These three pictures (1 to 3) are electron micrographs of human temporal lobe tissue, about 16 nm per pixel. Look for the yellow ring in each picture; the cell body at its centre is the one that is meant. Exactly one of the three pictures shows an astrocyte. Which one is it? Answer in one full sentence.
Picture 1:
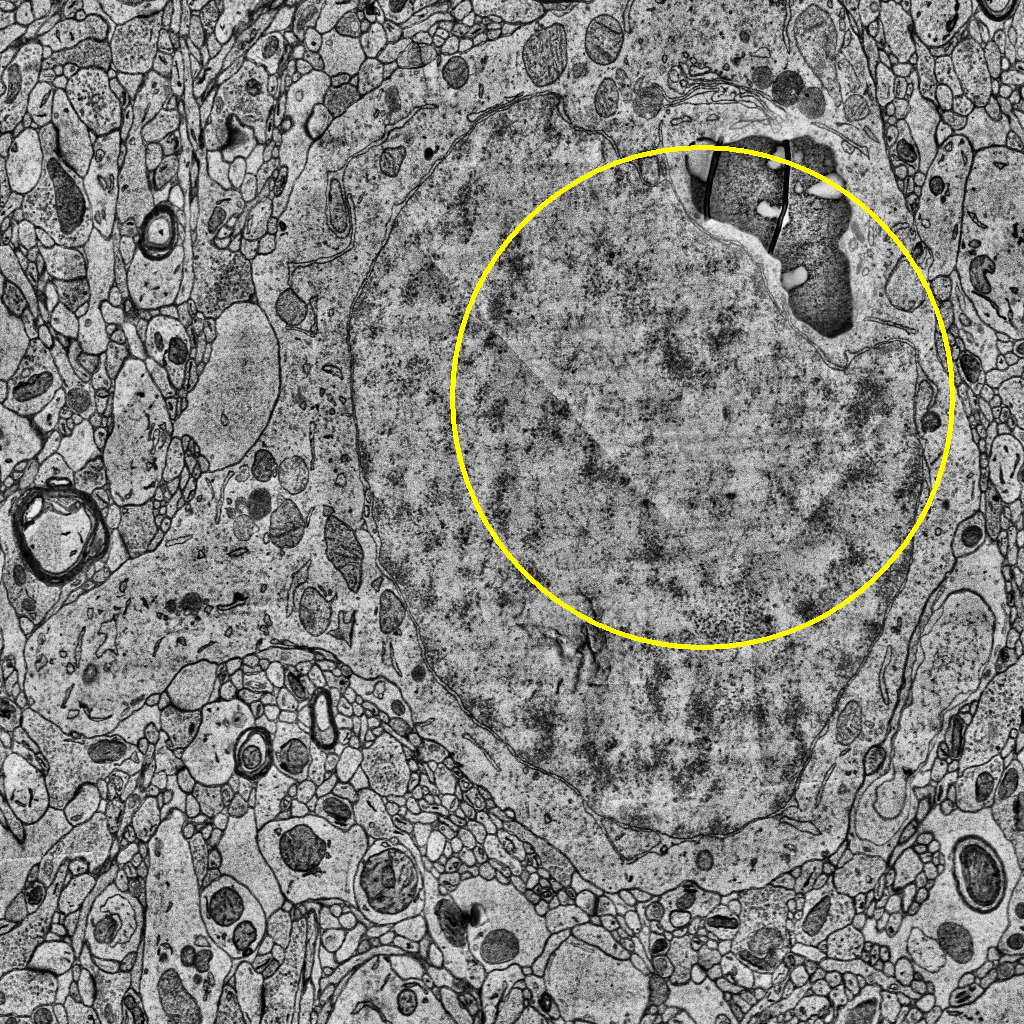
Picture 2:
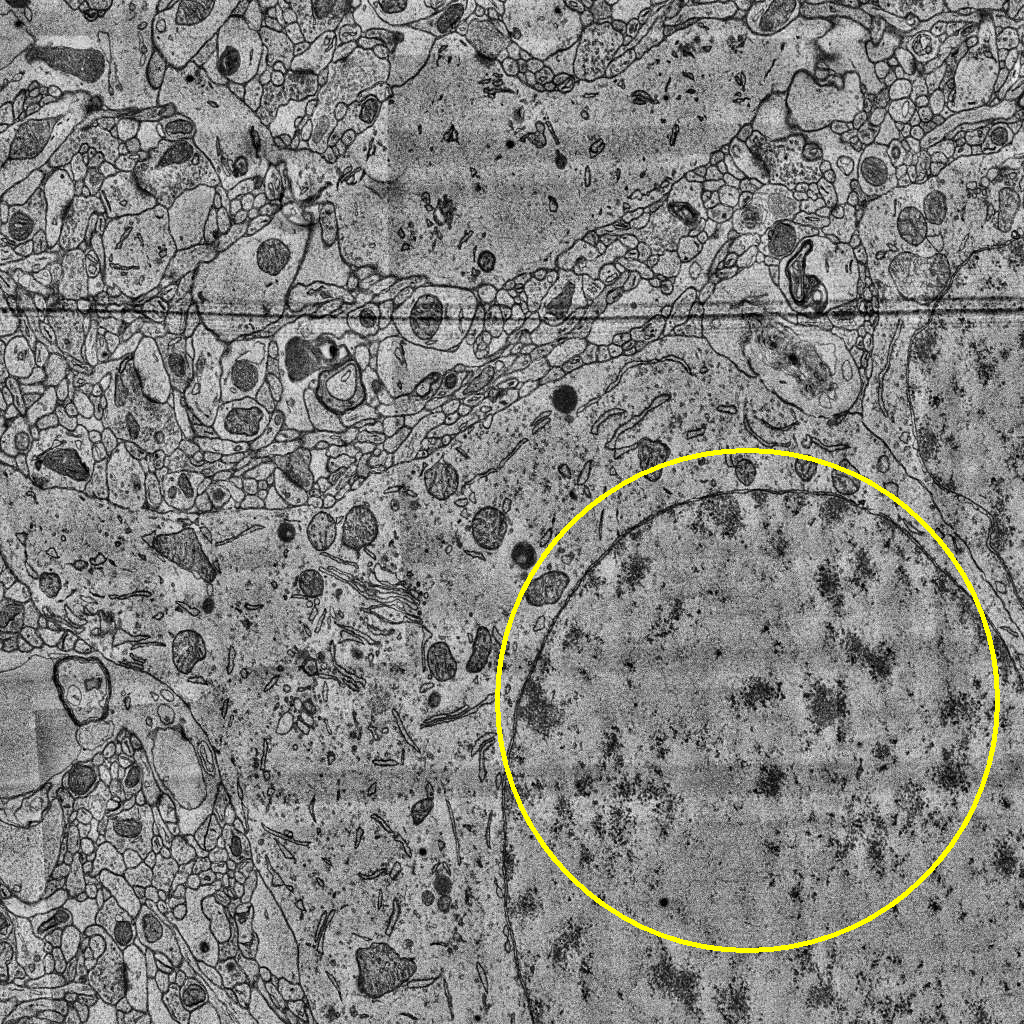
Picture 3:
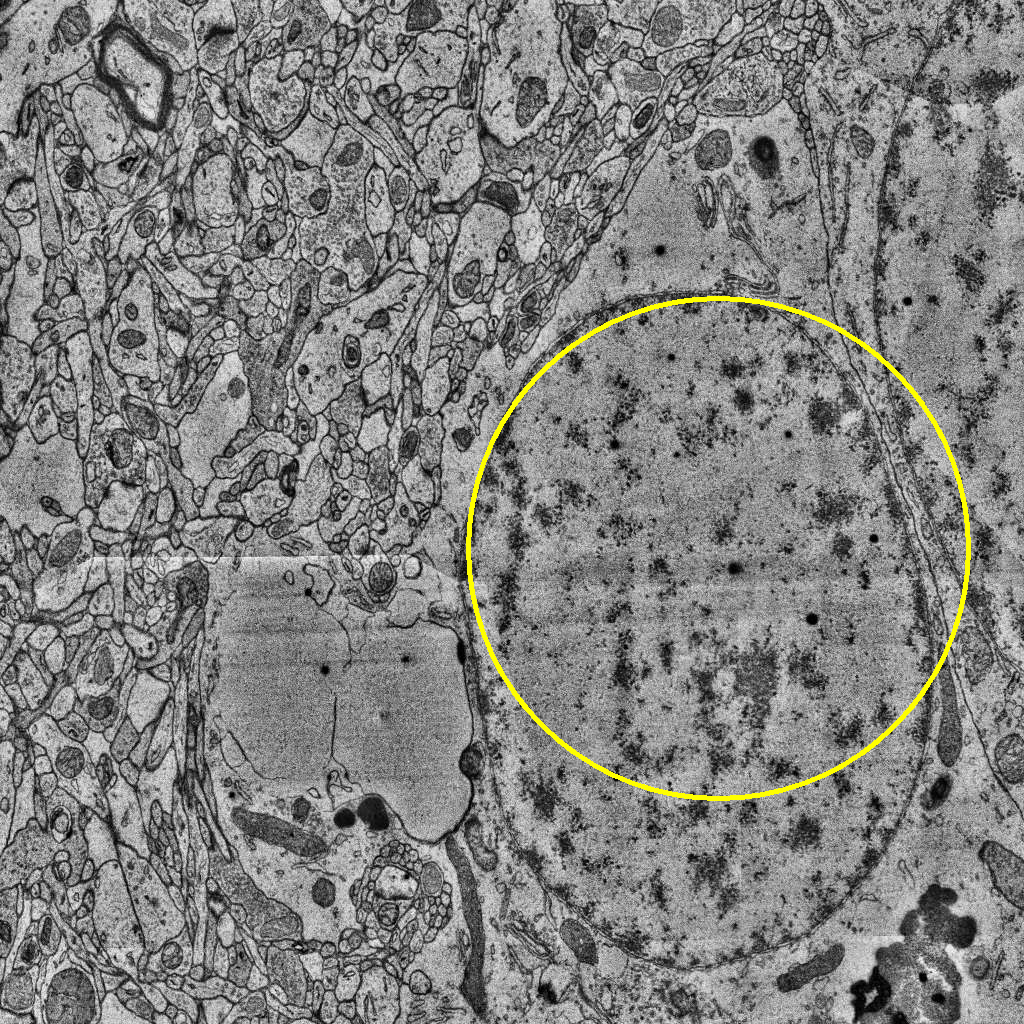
The cell in picture 3 is the astrocyte.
